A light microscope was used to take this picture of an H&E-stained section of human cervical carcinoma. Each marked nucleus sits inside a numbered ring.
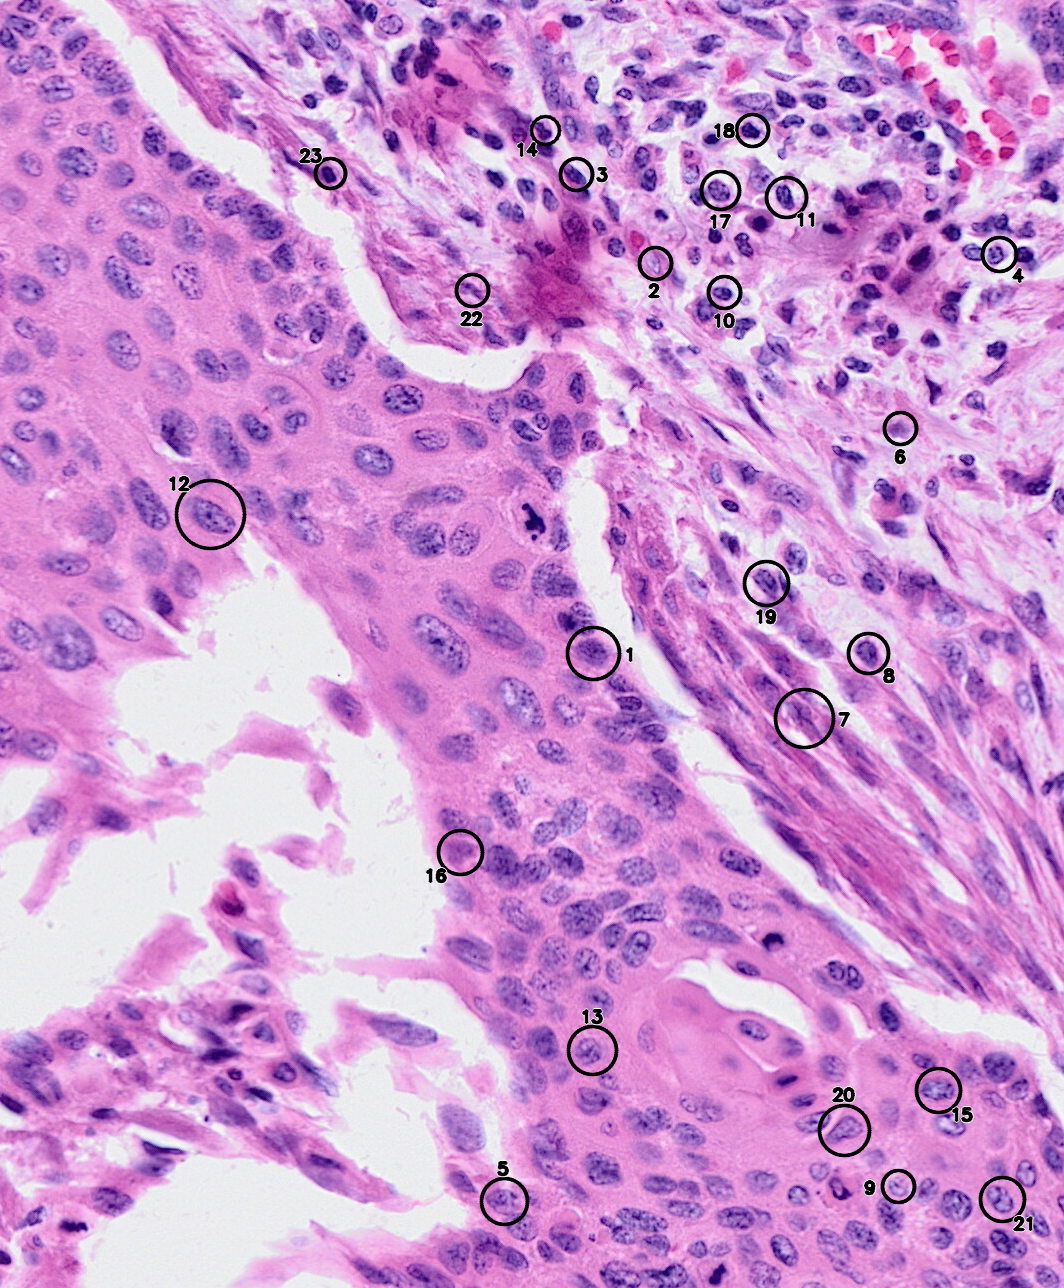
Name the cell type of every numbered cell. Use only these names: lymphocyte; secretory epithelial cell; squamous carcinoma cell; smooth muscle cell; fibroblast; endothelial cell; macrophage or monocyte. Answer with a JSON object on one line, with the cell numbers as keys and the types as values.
{"1": "squamous carcinoma cell", "2": "endothelial cell", "3": "lymphocyte", "4": "lymphocyte", "5": "squamous carcinoma cell", "6": "fibroblast", "7": "fibroblast", "8": "lymphocyte", "9": "squamous carcinoma cell", "10": "lymphocyte", "11": "lymphocyte", "12": "squamous carcinoma cell", "13": "squamous carcinoma cell", "14": "lymphocyte", "15": "squamous carcinoma cell", "16": "squamous carcinoma cell", "17": "lymphocyte", "18": "lymphocyte", "19": "lymphocyte", "20": "squamous carcinoma cell", "21": "squamous carcinoma cell", "22": "fibroblast", "23": "lymphocyte"}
